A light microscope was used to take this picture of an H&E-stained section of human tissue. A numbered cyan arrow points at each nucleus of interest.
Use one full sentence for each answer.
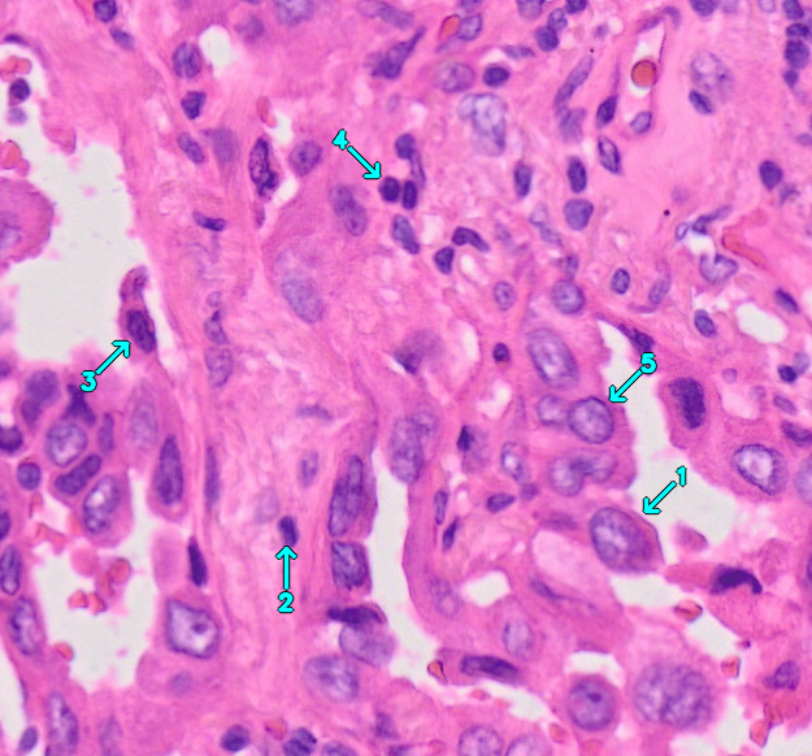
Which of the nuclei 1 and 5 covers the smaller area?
Nucleus 5 is the smaller one; nucleus 1 covers about 2.5 times its area.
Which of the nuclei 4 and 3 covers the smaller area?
Nucleus 4 covers less area, with nucleus 3 about 2 times as large.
